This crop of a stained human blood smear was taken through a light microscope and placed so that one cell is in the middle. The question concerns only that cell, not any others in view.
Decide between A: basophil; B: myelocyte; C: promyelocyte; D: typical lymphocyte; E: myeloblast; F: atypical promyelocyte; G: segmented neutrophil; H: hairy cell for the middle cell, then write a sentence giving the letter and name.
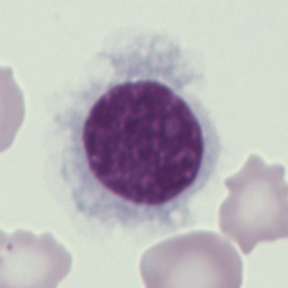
What sits in the middle of the crop is a hairy cell, and option H is correct.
